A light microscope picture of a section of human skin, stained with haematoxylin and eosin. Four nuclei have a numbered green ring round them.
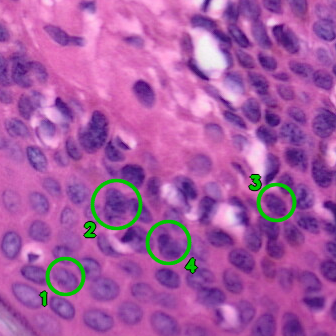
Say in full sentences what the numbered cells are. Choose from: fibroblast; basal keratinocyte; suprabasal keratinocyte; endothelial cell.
Cell 1 is a suprabasal keratinocyte, cell 2 is a basal keratinocyte, cell 3 is a basal keratinocyte and cell 4 is a suprabasal keratinocyte.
